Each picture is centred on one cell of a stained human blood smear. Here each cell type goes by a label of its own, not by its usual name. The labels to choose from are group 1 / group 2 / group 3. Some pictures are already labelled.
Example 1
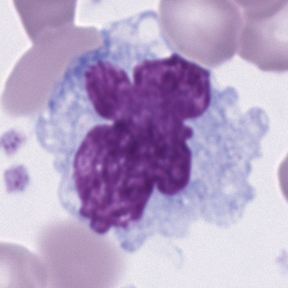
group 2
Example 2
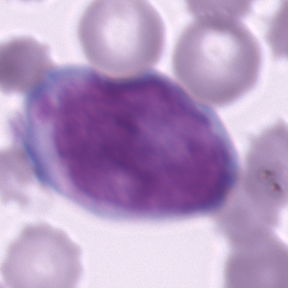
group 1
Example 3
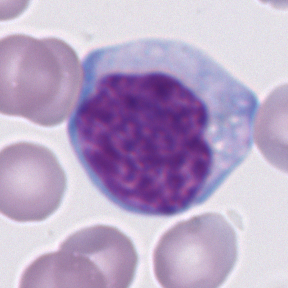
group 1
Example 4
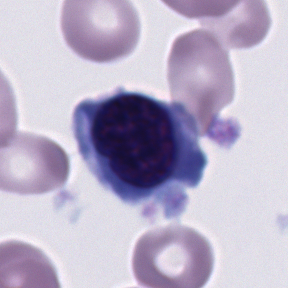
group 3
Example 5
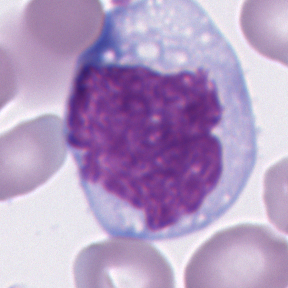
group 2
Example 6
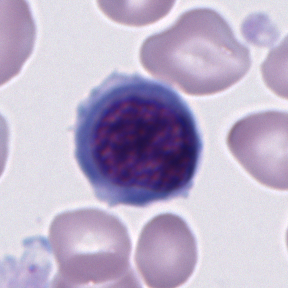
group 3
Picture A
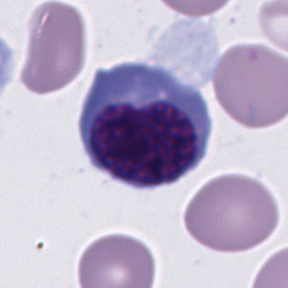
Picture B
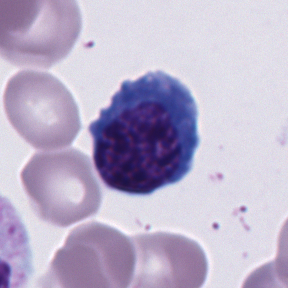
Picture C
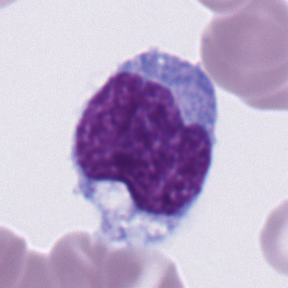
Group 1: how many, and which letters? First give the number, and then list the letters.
0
